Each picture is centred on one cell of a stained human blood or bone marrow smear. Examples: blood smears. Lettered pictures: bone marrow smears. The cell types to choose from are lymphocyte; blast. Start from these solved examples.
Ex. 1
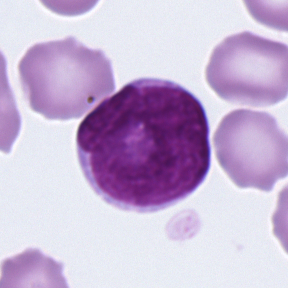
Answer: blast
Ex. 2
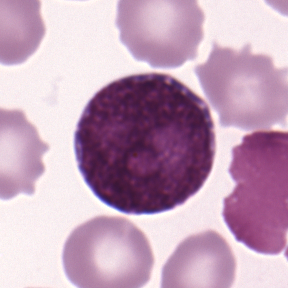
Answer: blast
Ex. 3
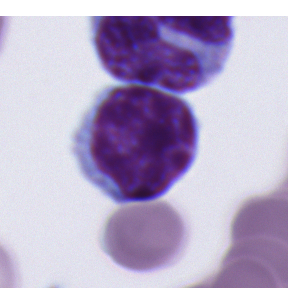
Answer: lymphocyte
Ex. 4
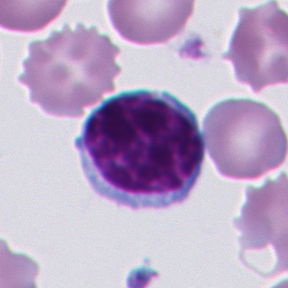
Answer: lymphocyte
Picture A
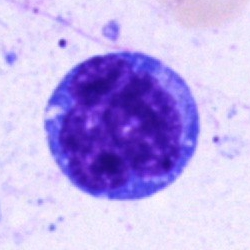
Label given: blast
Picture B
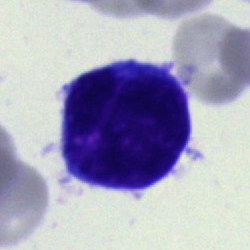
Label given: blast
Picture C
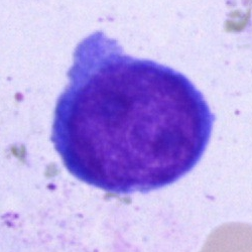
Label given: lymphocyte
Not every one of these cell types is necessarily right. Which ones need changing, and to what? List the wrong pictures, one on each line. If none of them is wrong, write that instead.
C: not lymphocyte but blast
